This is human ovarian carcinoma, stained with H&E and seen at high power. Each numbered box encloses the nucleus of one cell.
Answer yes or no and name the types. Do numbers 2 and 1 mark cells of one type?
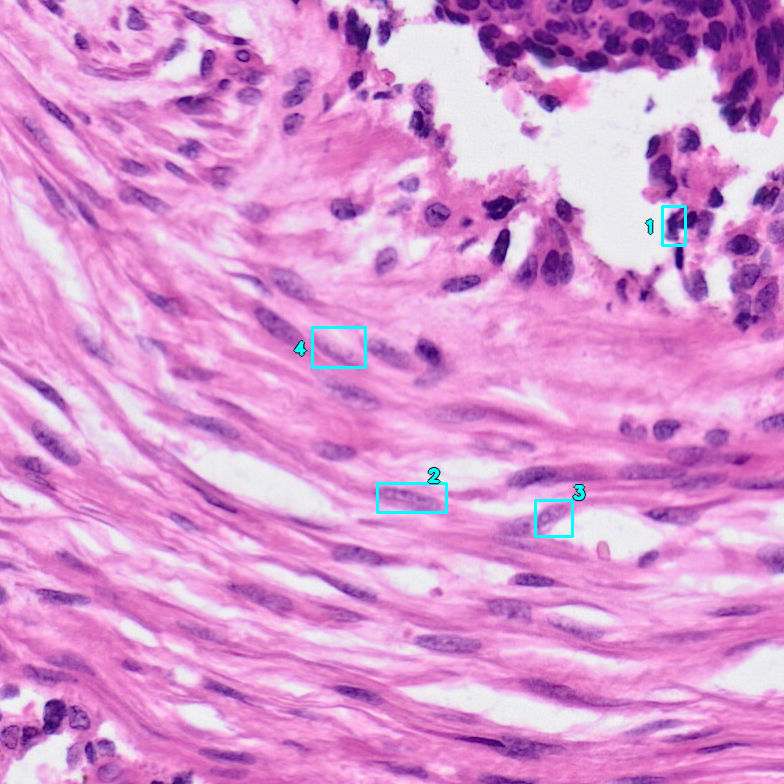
No, cell 2 is a fibroblast, with cell 1 being a carcinoma cell.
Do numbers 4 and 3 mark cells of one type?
Yes, cells 4 and 3 are fibroblasts, both of them.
